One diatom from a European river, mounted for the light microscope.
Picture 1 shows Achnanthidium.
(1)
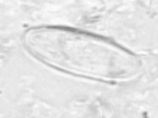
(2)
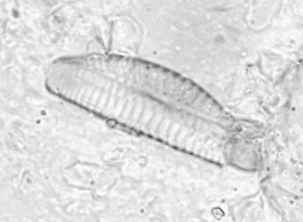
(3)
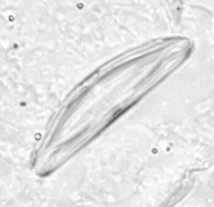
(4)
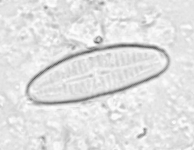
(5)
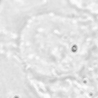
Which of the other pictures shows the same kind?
Picture 4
